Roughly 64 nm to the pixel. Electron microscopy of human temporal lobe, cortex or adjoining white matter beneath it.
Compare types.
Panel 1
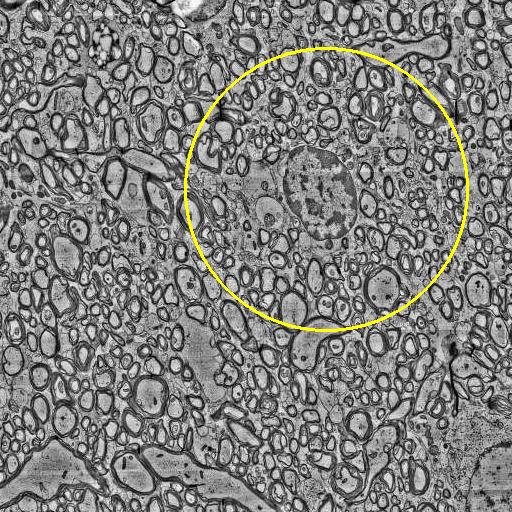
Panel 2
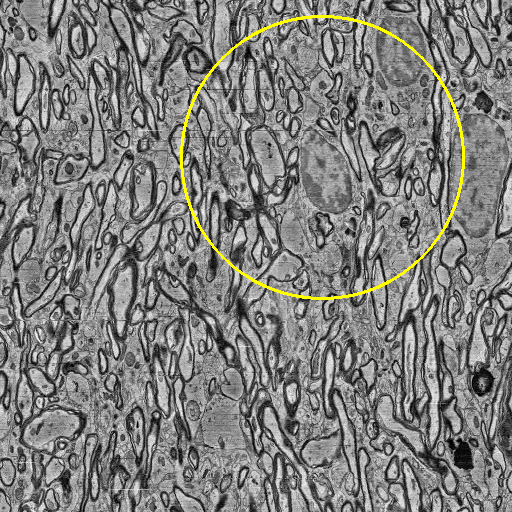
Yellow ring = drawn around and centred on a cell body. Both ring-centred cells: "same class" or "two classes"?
same class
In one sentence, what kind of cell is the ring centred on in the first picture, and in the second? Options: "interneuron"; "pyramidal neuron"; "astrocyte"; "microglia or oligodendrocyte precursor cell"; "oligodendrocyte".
Each of the two rings is centred on a microglial cell or oligodendrocyte precursor cell.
